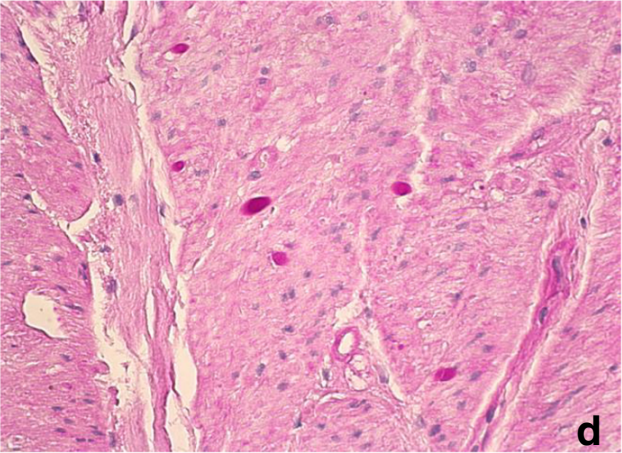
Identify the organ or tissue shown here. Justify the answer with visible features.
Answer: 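Smooth muscle. Pink fibrillar cytoplasm arranged in bundles separated by thin clefts. Single oval nuclei spaced out along the fibres. No cross-striations are visible.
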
